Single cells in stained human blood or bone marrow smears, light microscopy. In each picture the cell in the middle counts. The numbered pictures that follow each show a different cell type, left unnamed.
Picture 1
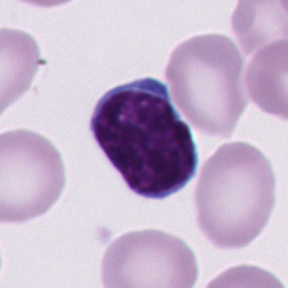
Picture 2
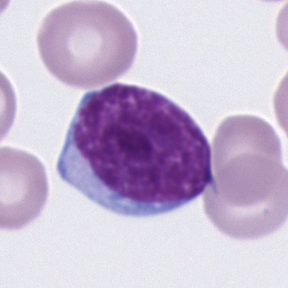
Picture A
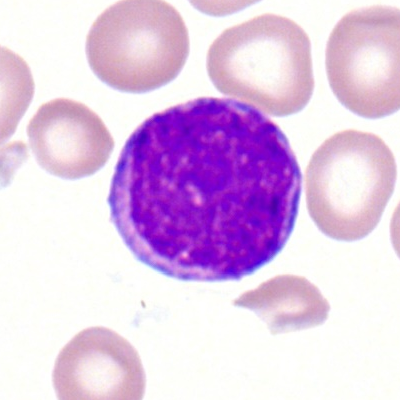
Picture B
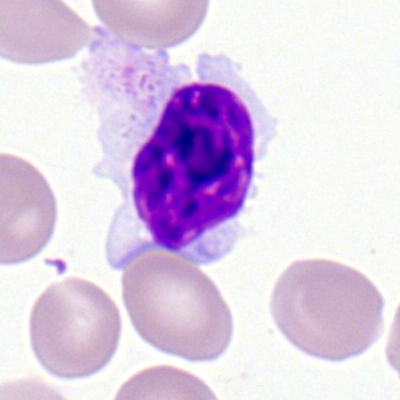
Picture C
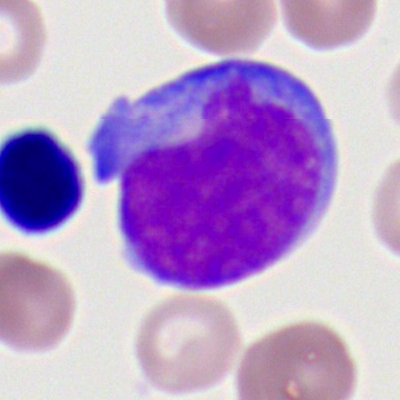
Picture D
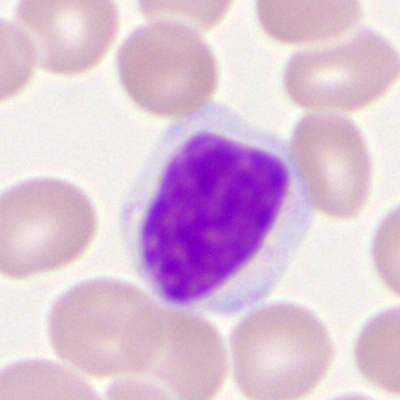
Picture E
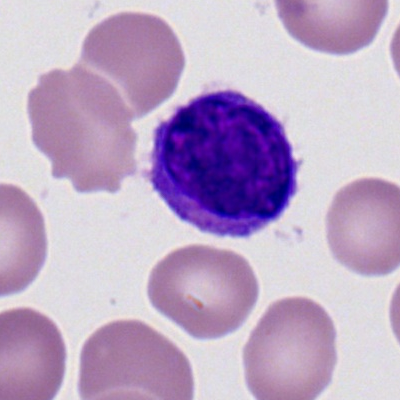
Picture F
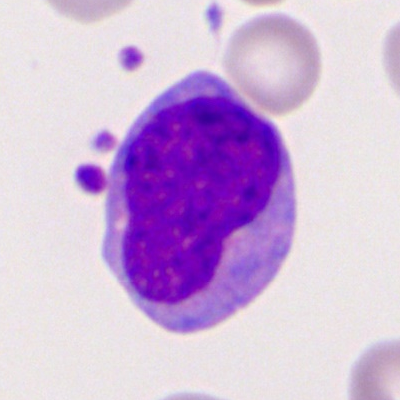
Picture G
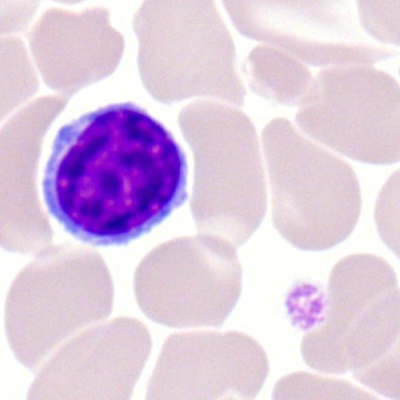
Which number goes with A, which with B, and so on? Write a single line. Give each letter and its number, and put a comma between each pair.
A 2, B 1, C 2, D 1, E 1, F 2, G 1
